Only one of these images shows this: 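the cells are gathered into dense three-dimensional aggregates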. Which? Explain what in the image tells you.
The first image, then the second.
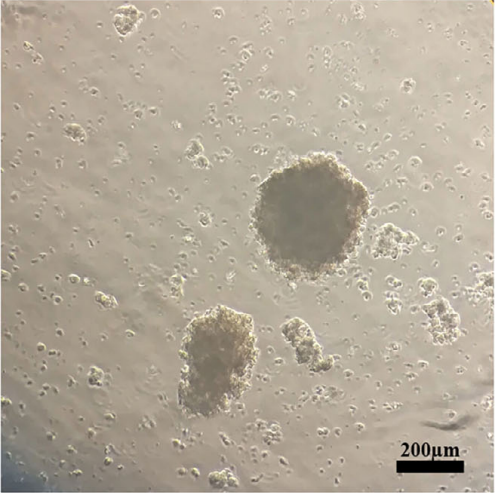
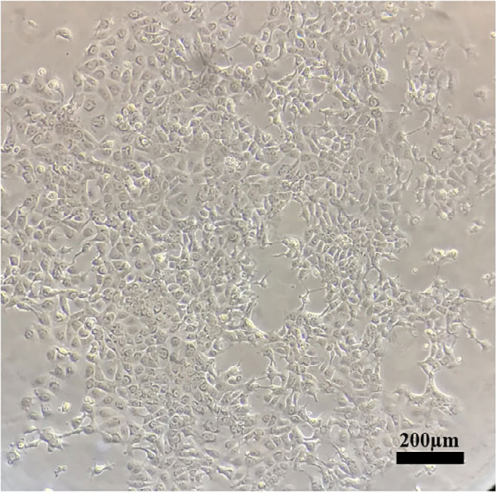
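The first image. First image: large dark compact clusters of many rounded cells. Second image: flat cells spread in a single layer over the surface.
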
